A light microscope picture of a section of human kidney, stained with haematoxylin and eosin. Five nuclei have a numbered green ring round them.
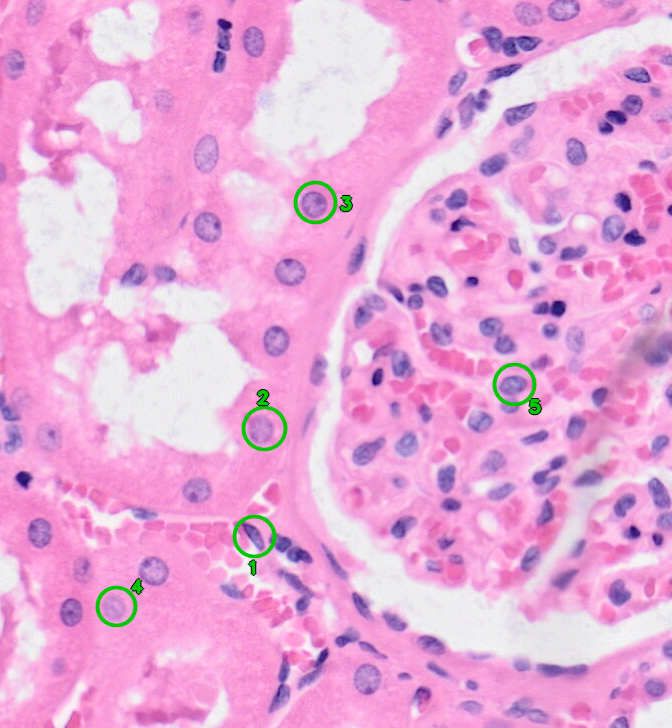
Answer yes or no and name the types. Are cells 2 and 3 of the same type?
Yes, note that cells 2 and 3 are both proximal tubule cells.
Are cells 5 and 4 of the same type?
No, cell number 5 is an endothelial cell, and cell number 4 is a proximal tubule cell.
